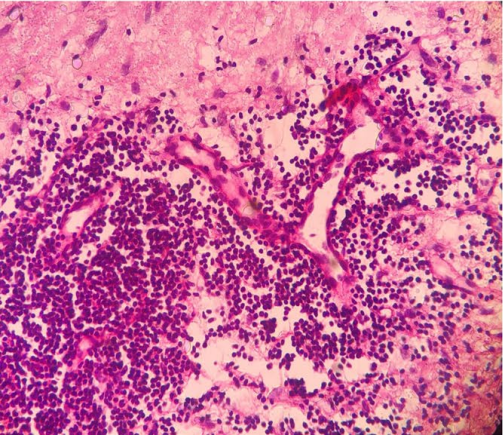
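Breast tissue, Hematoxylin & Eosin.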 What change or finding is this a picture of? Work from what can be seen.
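Infiltration by lymphocytes. A dense mass of small dark round cells fills most of the field. Pale pink loose connective tissue lies at the top. Small vessels run through the cell mass.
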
